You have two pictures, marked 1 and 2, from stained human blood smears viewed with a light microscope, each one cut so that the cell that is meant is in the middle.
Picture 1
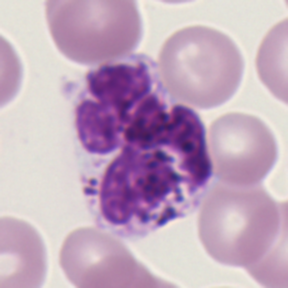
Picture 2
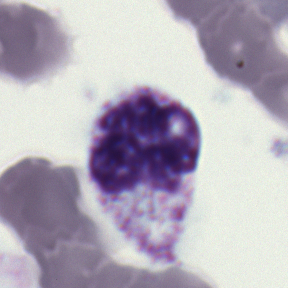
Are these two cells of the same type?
no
